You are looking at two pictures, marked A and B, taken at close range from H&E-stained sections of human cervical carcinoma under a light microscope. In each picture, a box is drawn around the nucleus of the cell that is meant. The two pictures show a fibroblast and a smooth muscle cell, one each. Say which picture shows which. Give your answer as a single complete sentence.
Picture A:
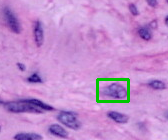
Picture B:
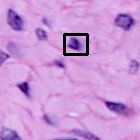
Picture A is of a smooth muscle cell, and picture B is of a fibroblast.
